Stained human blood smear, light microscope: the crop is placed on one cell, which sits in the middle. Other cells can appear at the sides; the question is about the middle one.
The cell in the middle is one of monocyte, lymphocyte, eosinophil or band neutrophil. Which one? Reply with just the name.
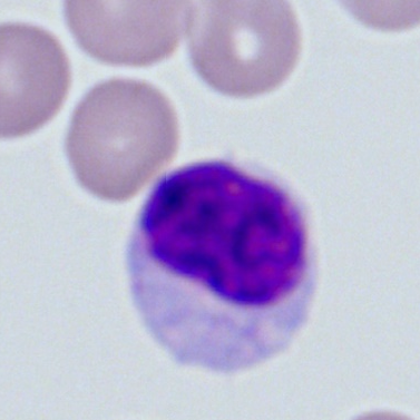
lymphocyte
